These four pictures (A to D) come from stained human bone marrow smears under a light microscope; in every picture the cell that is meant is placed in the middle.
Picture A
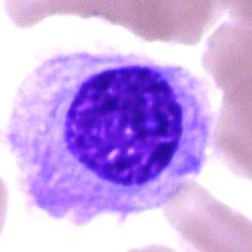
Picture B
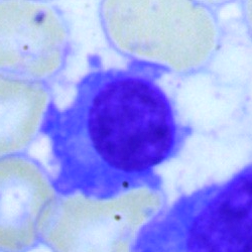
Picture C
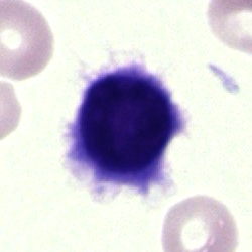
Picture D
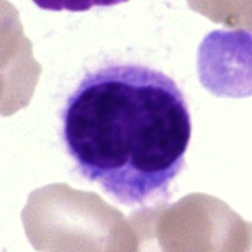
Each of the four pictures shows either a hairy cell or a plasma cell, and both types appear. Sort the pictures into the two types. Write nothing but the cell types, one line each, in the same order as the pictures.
hairy cell
plasma cell
hairy cell
hairy cell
